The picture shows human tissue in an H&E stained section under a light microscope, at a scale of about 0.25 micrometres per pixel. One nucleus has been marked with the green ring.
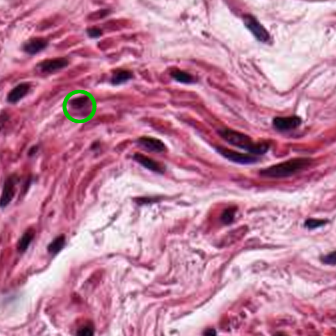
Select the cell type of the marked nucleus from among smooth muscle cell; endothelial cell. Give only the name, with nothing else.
smooth muscle cell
